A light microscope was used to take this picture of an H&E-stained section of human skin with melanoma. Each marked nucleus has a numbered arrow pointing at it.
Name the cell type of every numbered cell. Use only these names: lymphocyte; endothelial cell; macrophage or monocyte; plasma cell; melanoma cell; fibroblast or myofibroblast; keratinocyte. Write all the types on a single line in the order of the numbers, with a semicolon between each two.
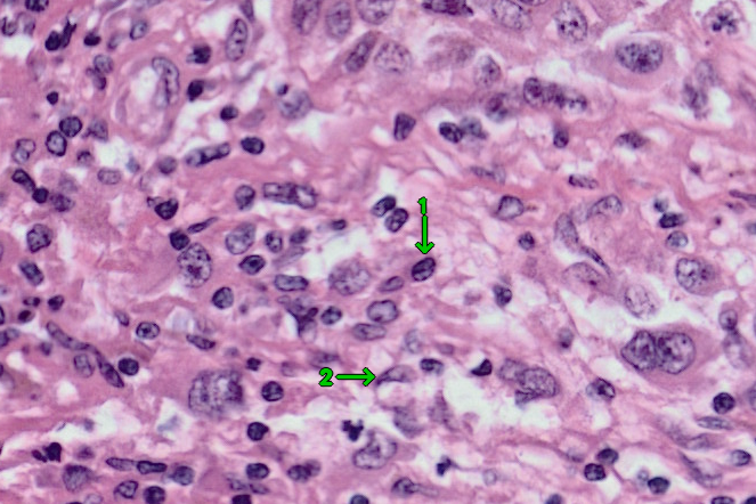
plasma cell; fibroblast or myofibroblast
